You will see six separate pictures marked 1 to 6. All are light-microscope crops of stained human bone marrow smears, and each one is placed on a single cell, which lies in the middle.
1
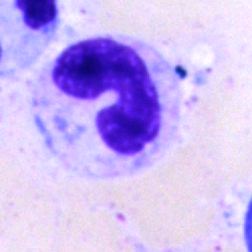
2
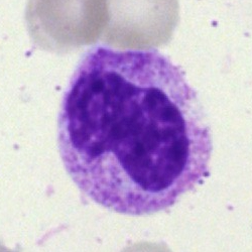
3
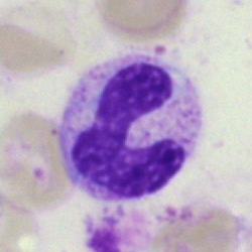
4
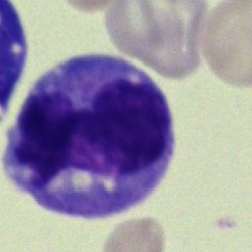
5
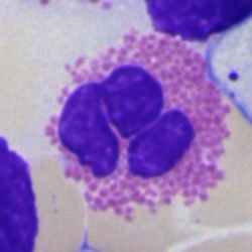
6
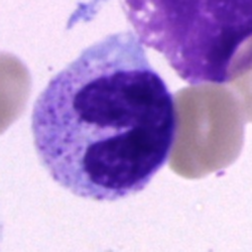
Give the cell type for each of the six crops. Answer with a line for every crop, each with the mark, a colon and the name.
1: band neutrophil
2: band neutrophil
3: band neutrophil
4: monocyte
5: eosinophil
6: band neutrophil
